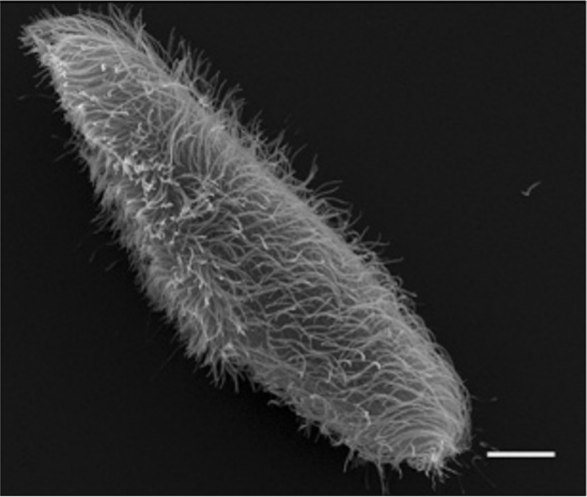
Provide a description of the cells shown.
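This scanning electron micrograph shows a single Paramecium, an elongated, cigar-shaped single-celled organism lying diagonally across the field. Its whole surface is covered with a dense coat of fine cilia, which lie in many directions over the body.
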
